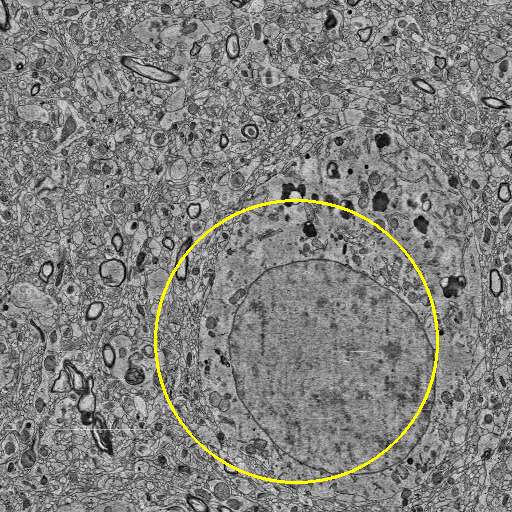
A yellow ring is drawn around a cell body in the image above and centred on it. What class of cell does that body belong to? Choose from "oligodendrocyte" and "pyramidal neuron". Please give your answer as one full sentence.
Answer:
The yellow ring above is centred on the cell body of a pyramidal neuron.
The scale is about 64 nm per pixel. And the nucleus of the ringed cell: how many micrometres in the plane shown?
In this plane the nucleus is about 15 micrometres by 13.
